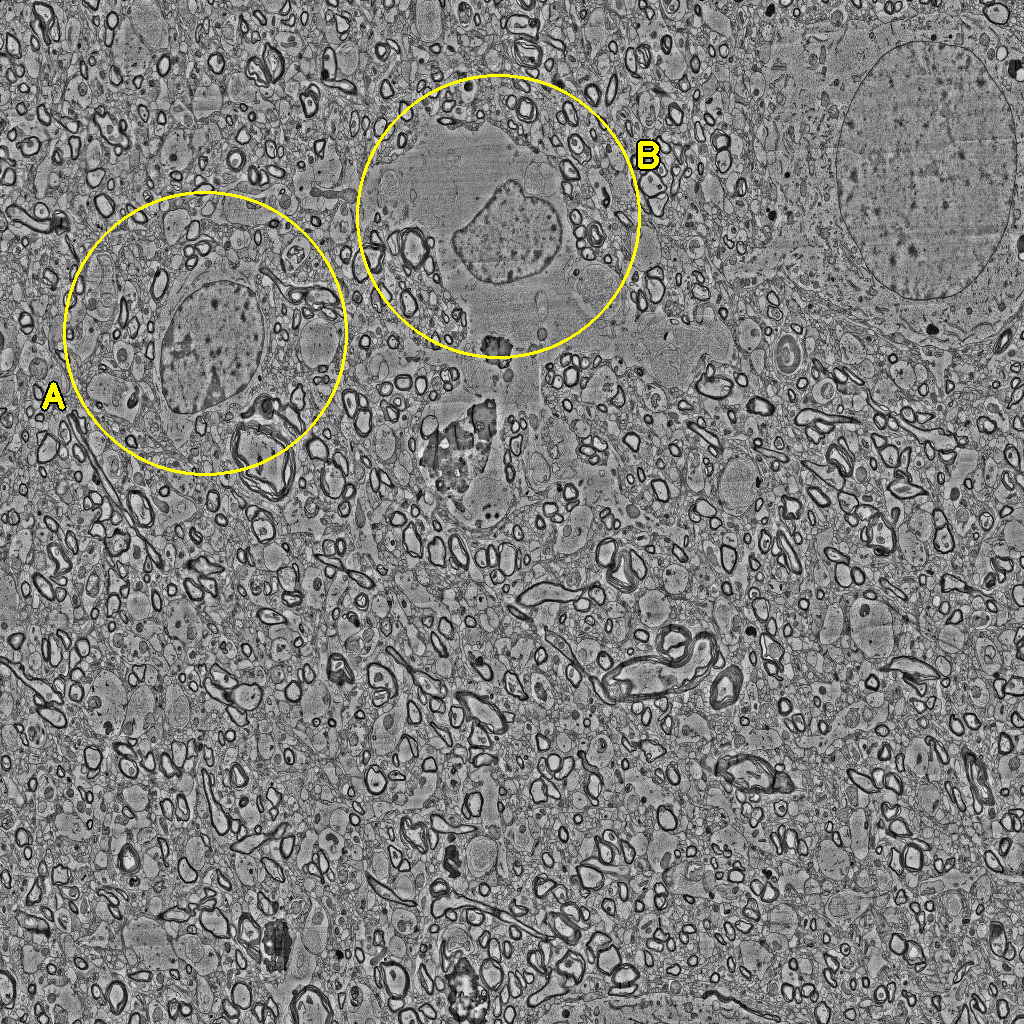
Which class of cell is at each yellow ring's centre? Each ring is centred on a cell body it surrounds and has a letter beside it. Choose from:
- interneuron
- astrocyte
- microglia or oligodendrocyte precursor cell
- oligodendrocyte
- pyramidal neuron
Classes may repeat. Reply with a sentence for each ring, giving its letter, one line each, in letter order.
The ring lettered A is centred on a microglial cell or oligodendrocyte precursor cell.
The ring lettered B is centred on an astrocyte.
